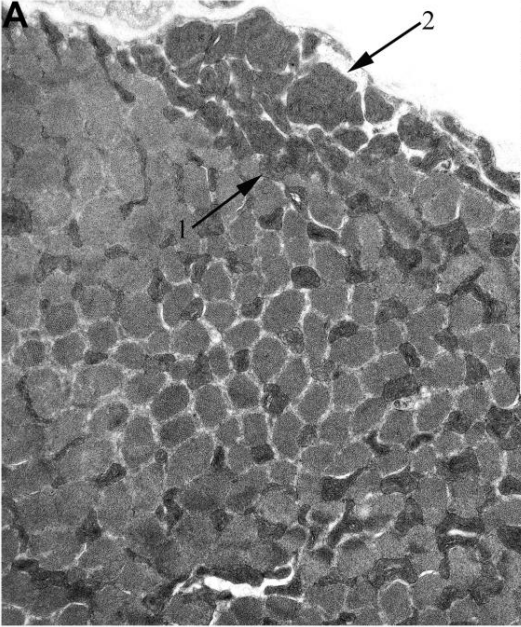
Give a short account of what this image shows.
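Cross section of a skeletal muscle fibre, showing myofibrils cut end-on as many polygonal grey profiles separated by thin pale clefts. Scattered among them are darker, electron-dense mitochondria, mostly small and wedged between the myofibrils. Toward the edge of the fibre, beneath its surface membrane, the mitochondria become larger and crowd together into dense dark clusters, forming a band of packed organelles. At the very margin a large mitochondrion with a textured interior lies against the fibre surface, bordered outside by pale extracellular space.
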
